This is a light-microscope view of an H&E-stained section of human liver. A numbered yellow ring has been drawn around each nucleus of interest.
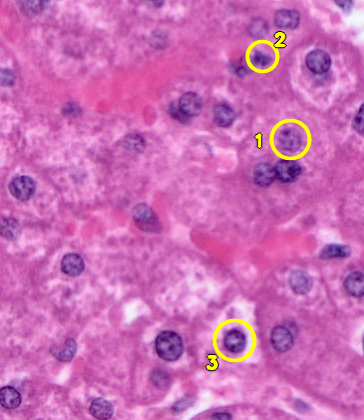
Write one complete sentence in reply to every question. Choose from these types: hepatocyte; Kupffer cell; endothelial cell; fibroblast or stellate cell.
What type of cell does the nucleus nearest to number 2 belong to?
The nearest nucleus to number 2 belongs to an endothelial cell.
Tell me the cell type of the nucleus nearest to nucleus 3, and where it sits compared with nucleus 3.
The nearest one is a hepatocyte, found to the right of nucleus 3.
